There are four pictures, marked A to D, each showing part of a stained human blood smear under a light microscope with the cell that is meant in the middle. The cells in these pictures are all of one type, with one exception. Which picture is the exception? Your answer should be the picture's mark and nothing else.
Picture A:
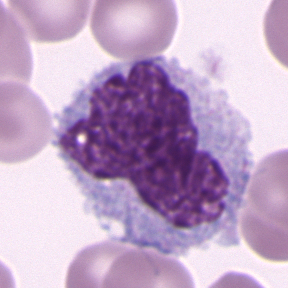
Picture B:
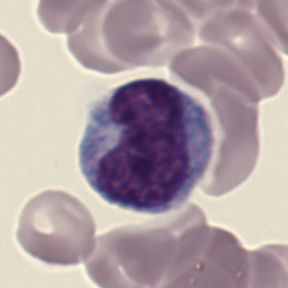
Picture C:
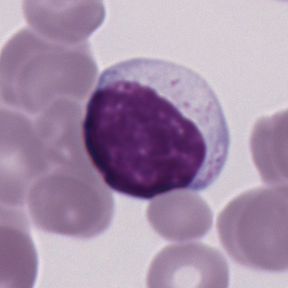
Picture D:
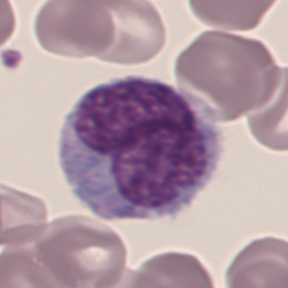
C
